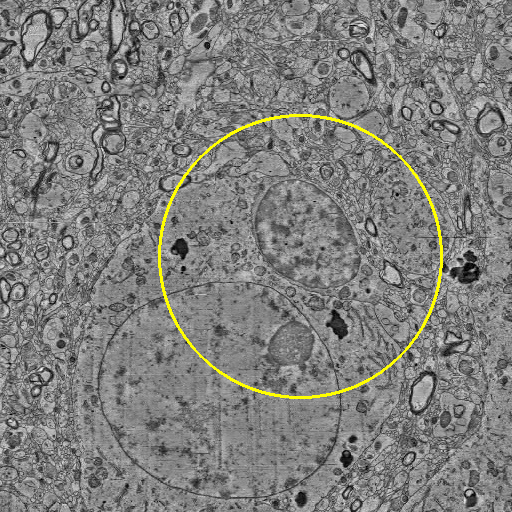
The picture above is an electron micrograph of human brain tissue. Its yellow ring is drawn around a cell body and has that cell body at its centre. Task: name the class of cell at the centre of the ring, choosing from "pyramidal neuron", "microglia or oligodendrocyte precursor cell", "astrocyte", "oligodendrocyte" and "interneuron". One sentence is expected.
The ring surrounds the body of an oligodendrocyte.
